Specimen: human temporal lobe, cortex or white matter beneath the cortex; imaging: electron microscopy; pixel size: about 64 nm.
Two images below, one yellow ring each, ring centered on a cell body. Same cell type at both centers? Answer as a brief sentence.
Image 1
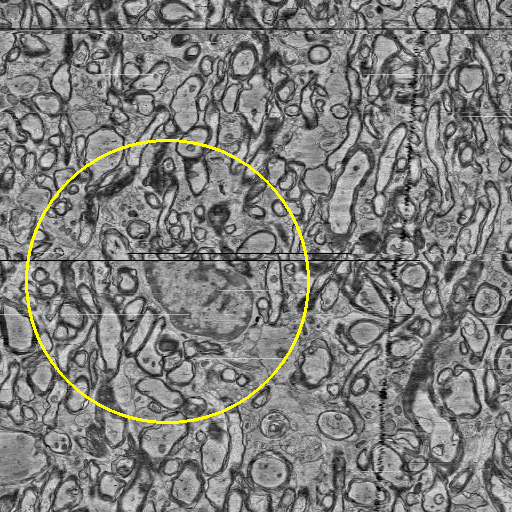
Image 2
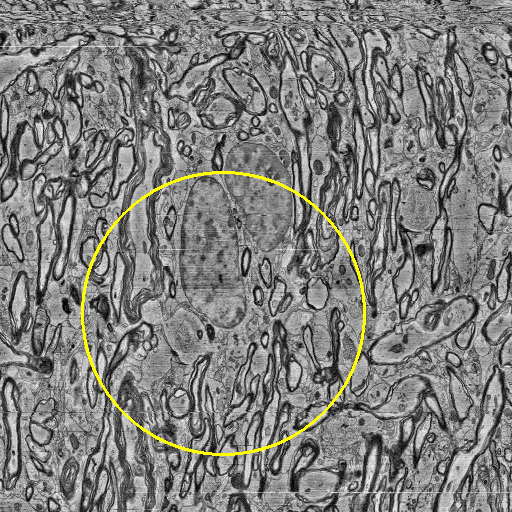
Yes, both cells are of the same type.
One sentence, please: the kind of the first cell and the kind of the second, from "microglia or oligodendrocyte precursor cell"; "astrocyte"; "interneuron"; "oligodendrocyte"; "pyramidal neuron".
Both pictures show a microglial cell or oligodendrocyte precursor cell at the centre of the ring.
